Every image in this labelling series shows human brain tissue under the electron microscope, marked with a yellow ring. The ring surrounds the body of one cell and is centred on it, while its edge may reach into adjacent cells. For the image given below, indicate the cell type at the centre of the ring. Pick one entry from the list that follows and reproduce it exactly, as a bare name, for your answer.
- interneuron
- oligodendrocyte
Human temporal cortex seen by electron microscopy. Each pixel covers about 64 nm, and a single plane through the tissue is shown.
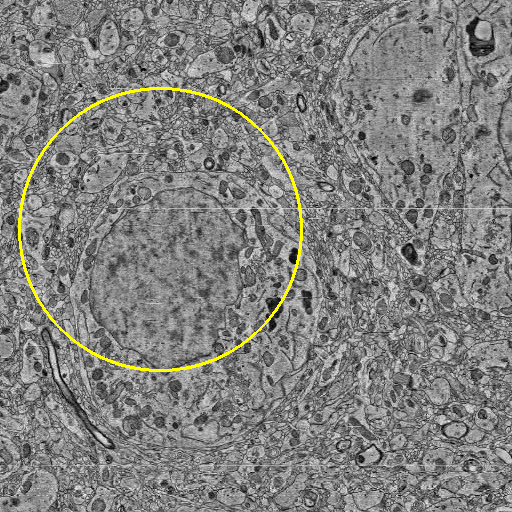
interneuron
